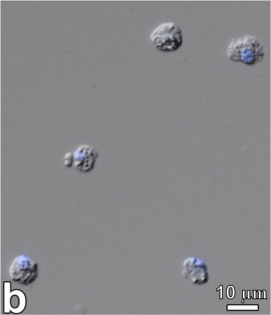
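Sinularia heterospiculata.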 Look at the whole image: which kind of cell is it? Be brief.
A: Granular host cells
